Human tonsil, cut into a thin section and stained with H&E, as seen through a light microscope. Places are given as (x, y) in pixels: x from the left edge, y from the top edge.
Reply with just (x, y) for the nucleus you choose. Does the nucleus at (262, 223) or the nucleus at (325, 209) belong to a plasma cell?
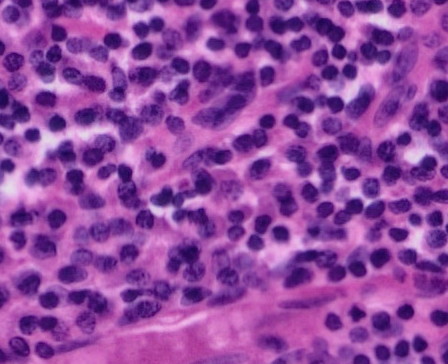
(262, 223)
